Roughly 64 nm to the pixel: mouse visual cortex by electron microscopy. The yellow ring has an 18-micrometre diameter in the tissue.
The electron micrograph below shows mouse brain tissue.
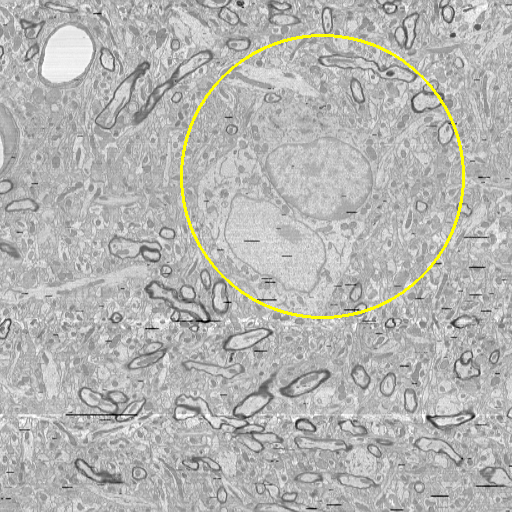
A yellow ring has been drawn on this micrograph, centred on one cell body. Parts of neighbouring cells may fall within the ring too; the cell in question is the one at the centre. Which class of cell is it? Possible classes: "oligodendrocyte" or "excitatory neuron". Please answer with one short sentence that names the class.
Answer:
In the centre of the ring sits an oligodendrocyte.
